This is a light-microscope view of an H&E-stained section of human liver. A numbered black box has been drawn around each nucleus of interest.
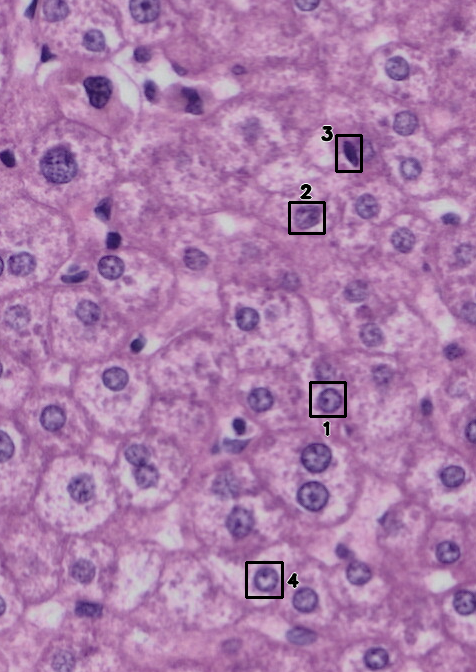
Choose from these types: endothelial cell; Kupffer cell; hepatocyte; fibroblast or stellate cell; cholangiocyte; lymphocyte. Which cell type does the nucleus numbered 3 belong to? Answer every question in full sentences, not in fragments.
The numbered cell 3 is identified here as a fibroblast or stellate cell.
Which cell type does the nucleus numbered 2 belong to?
The cell marked with number 2 is a hepatocyte.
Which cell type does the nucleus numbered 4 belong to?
Cell number 4 in this section is a hepatocyte.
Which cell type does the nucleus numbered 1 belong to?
Among the marked cells, number 1 is a hepatocyte.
